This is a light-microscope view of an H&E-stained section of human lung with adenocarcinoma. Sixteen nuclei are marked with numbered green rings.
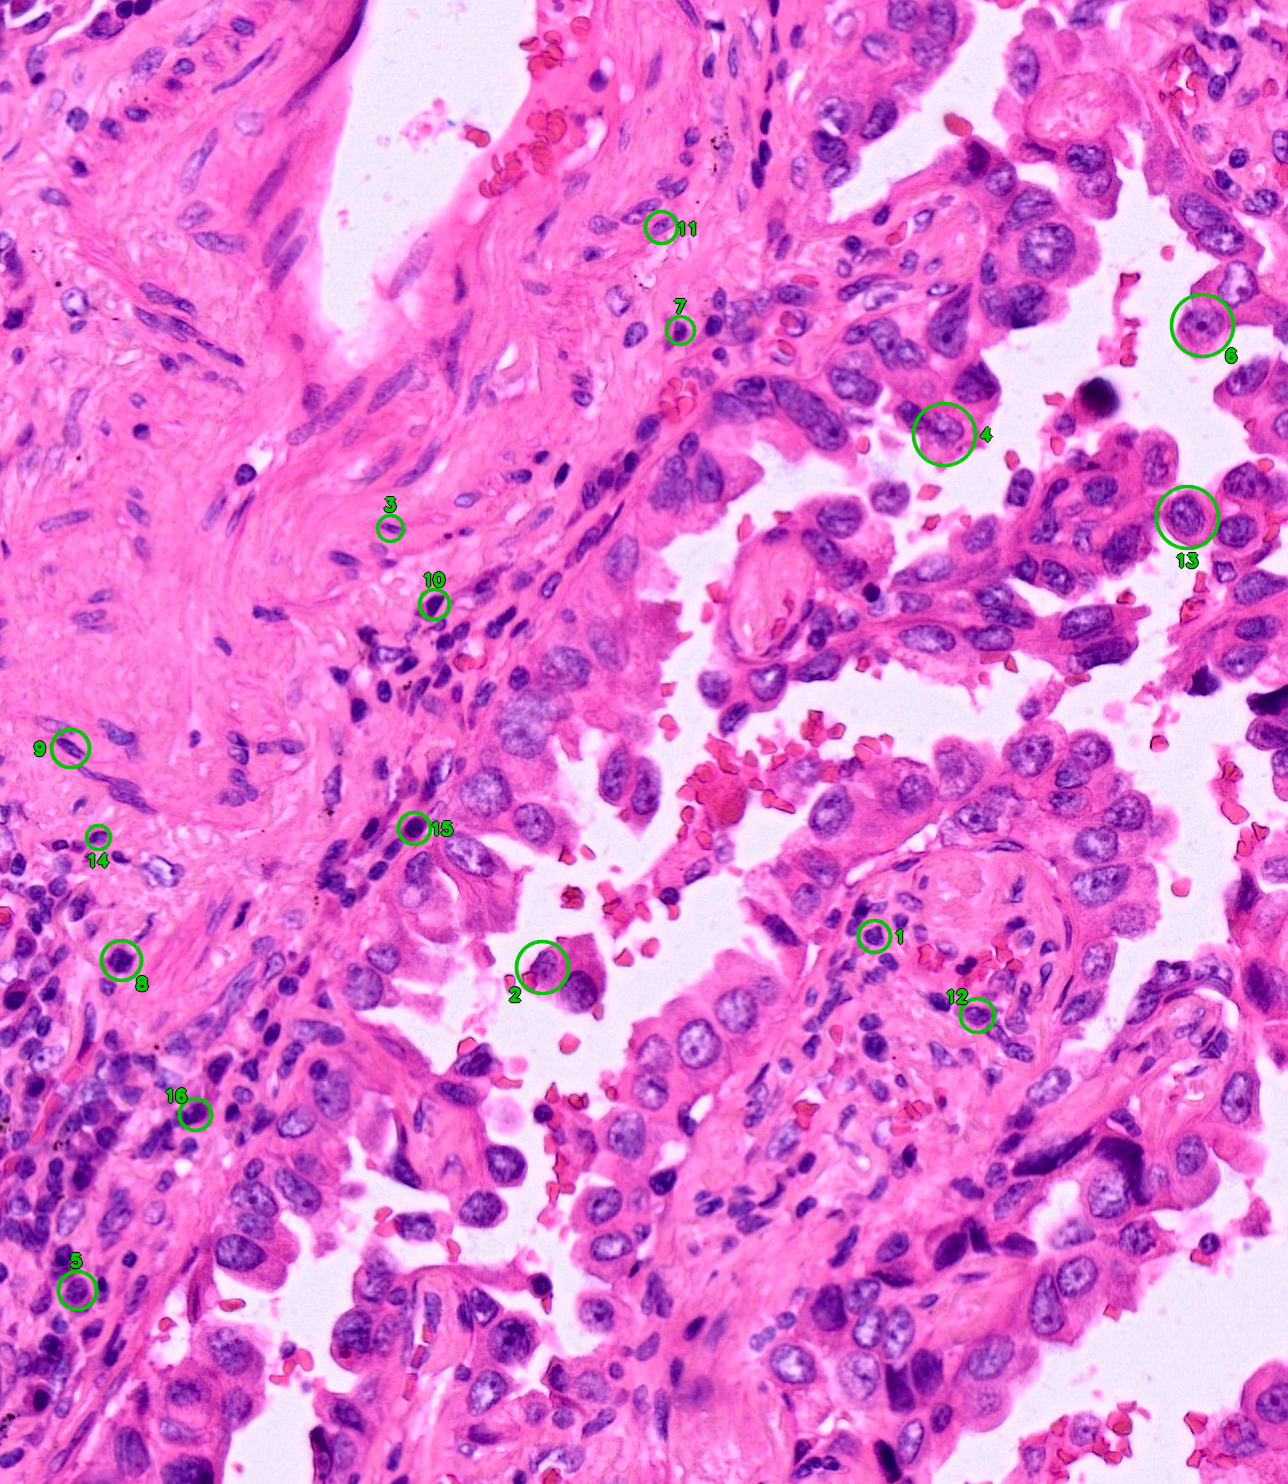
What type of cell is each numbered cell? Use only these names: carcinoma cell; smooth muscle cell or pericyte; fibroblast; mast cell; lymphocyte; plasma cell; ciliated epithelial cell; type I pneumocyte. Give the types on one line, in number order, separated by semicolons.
lymphocyte; carcinoma cell; smooth muscle cell or pericyte; carcinoma cell; plasma cell; carcinoma cell; plasma cell; plasma cell; smooth muscle cell or pericyte; plasma cell; smooth muscle cell or pericyte; plasma cell; carcinoma cell; mast cell; plasma cell; plasma cell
